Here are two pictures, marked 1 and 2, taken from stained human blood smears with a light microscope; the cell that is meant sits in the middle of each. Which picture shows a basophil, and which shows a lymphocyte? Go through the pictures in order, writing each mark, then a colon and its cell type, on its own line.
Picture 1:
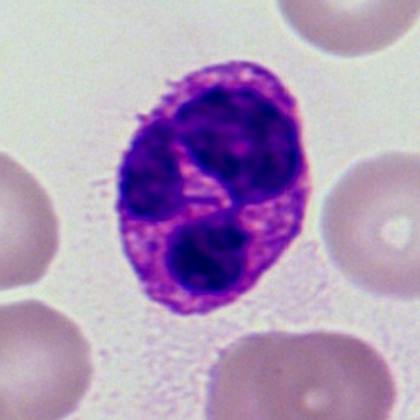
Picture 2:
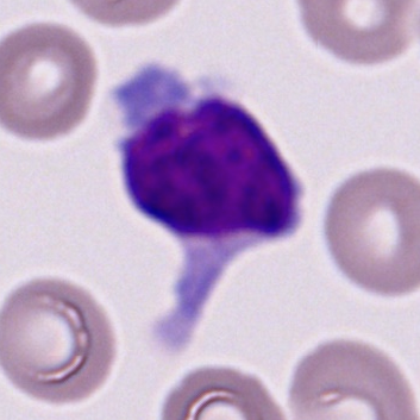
1: basophil
2: lymphocyte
